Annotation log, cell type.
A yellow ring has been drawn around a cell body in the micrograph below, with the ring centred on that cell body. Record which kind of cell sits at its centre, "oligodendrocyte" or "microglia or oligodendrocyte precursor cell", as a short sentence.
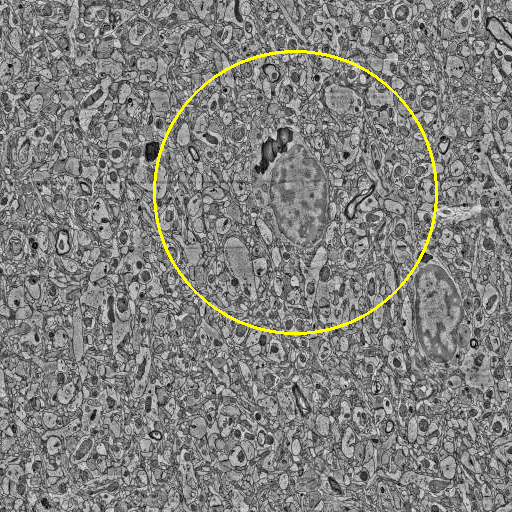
The cell at the centre of this ring is an oligodendrocyte.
